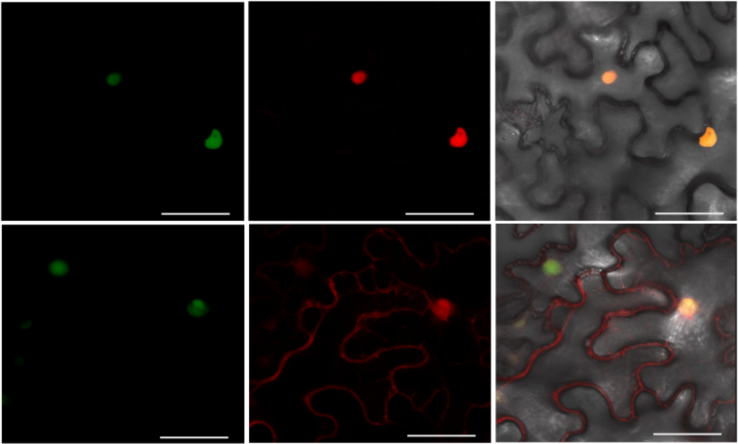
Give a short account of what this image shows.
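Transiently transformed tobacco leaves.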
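These are leaf epidermal pavement cells shown in two rows, each with a green image, a red image and an overlay on the bright-field view. In the upper row both green and red fluorescence are confined to a few small round nuclei, which appear orange-yellow in the overlay. In the lower row the green signal again sits in round nuclei, and the red signal also marks a nucleus. Red fluorescence in the lower row additionally traces the wavy, jigsaw-like outlines of the cells. The overlay shows the red rims following the interlocking cell walls seen in bright field.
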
